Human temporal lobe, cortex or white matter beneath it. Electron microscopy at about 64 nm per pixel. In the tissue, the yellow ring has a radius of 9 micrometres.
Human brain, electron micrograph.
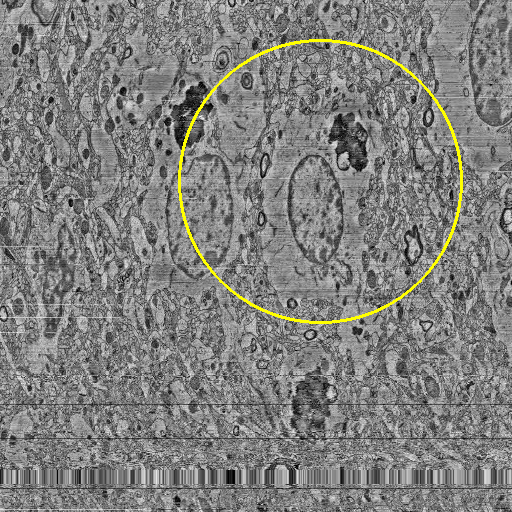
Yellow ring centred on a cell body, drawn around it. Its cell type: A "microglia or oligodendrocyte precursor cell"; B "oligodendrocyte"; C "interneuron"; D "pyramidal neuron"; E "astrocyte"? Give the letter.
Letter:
E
